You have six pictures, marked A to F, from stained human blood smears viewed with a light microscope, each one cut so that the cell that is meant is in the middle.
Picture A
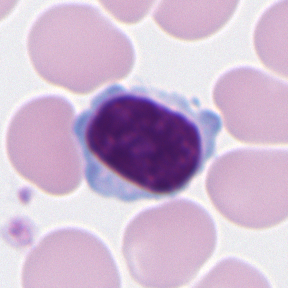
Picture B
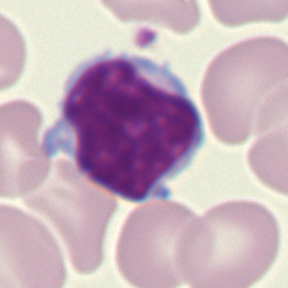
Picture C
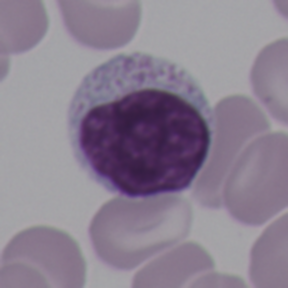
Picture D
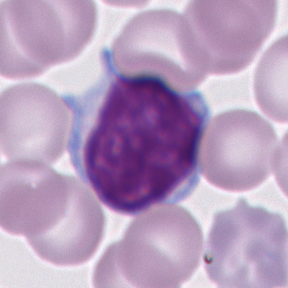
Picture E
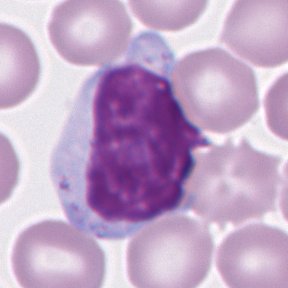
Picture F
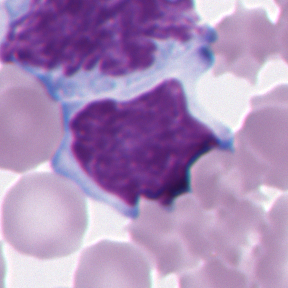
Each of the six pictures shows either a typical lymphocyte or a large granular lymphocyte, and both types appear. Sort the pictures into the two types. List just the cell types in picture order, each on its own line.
typical lymphocyte
typical lymphocyte
large granular lymphocyte
typical lymphocyte
large granular lymphocyte
typical lymphocyte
